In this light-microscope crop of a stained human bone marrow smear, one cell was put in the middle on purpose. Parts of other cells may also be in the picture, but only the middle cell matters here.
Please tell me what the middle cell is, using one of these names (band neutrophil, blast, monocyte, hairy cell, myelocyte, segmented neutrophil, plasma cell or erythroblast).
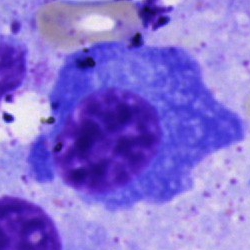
plasma cell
